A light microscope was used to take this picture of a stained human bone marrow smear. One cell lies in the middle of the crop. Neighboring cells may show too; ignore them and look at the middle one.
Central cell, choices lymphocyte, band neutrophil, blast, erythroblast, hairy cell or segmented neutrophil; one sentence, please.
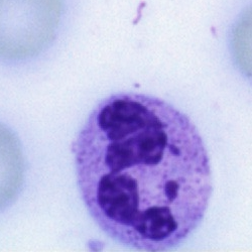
The cell in the exact centre of the crop is a segmented neutrophil.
